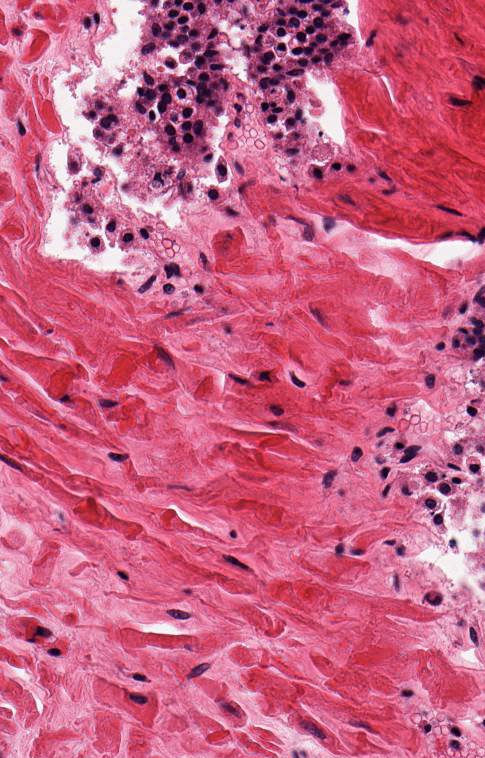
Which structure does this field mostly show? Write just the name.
fibromuscular stroma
